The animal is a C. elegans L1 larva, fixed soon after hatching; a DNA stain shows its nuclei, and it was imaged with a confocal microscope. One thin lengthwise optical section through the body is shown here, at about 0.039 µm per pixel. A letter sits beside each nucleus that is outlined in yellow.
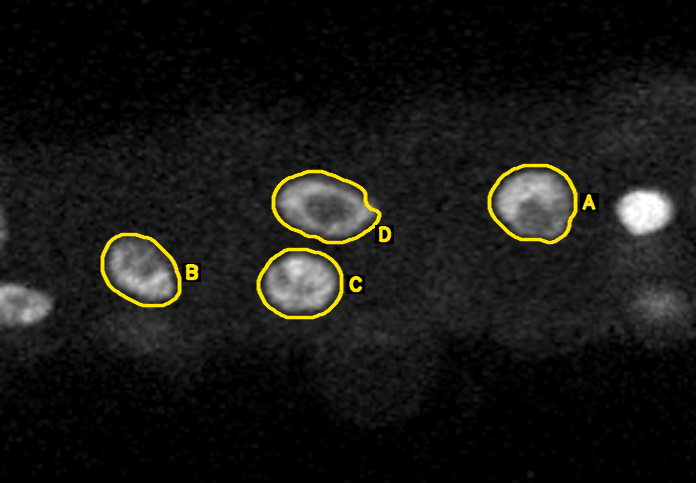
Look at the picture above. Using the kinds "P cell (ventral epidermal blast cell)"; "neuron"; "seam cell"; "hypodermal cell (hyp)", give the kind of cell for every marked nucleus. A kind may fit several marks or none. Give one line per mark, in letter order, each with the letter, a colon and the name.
A: seam cell
B: seam cell
C: P cell (ventral epidermal blast cell)
D: hypodermal cell (hyp)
